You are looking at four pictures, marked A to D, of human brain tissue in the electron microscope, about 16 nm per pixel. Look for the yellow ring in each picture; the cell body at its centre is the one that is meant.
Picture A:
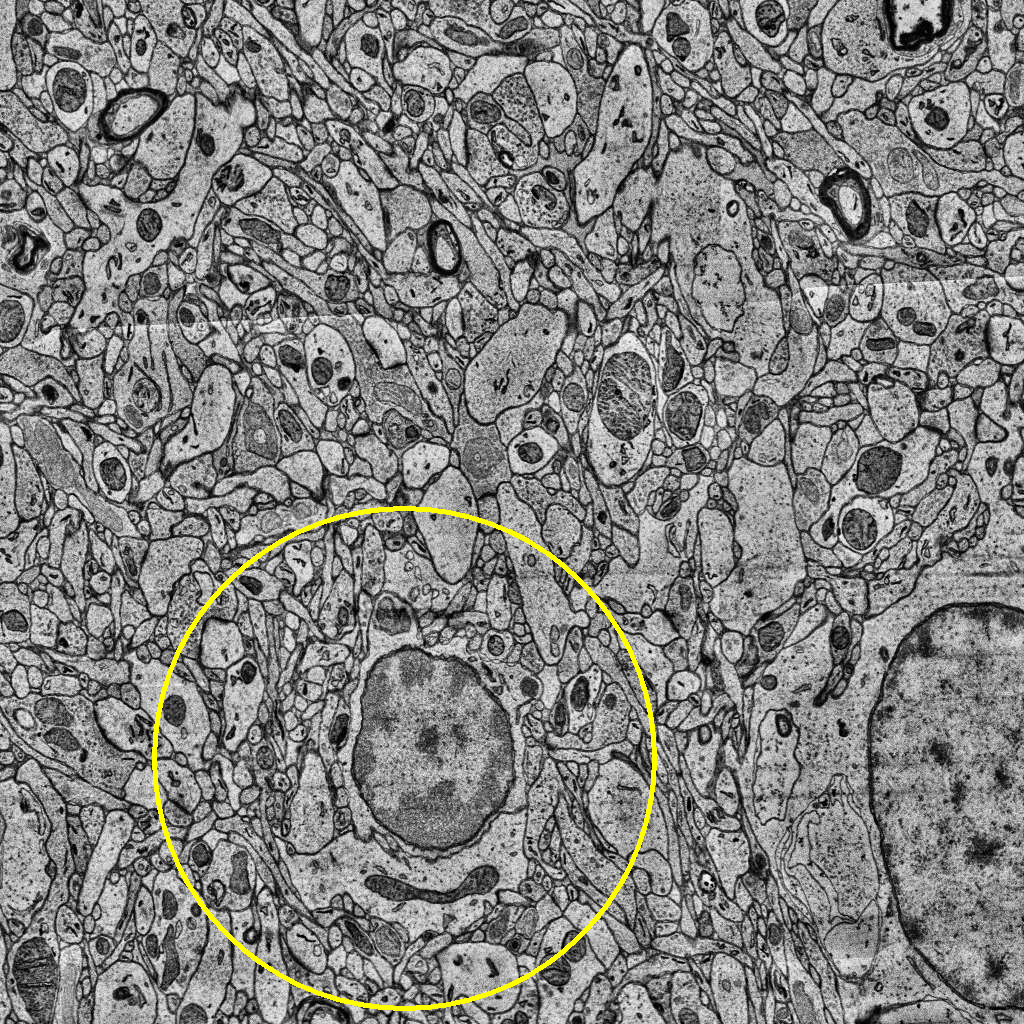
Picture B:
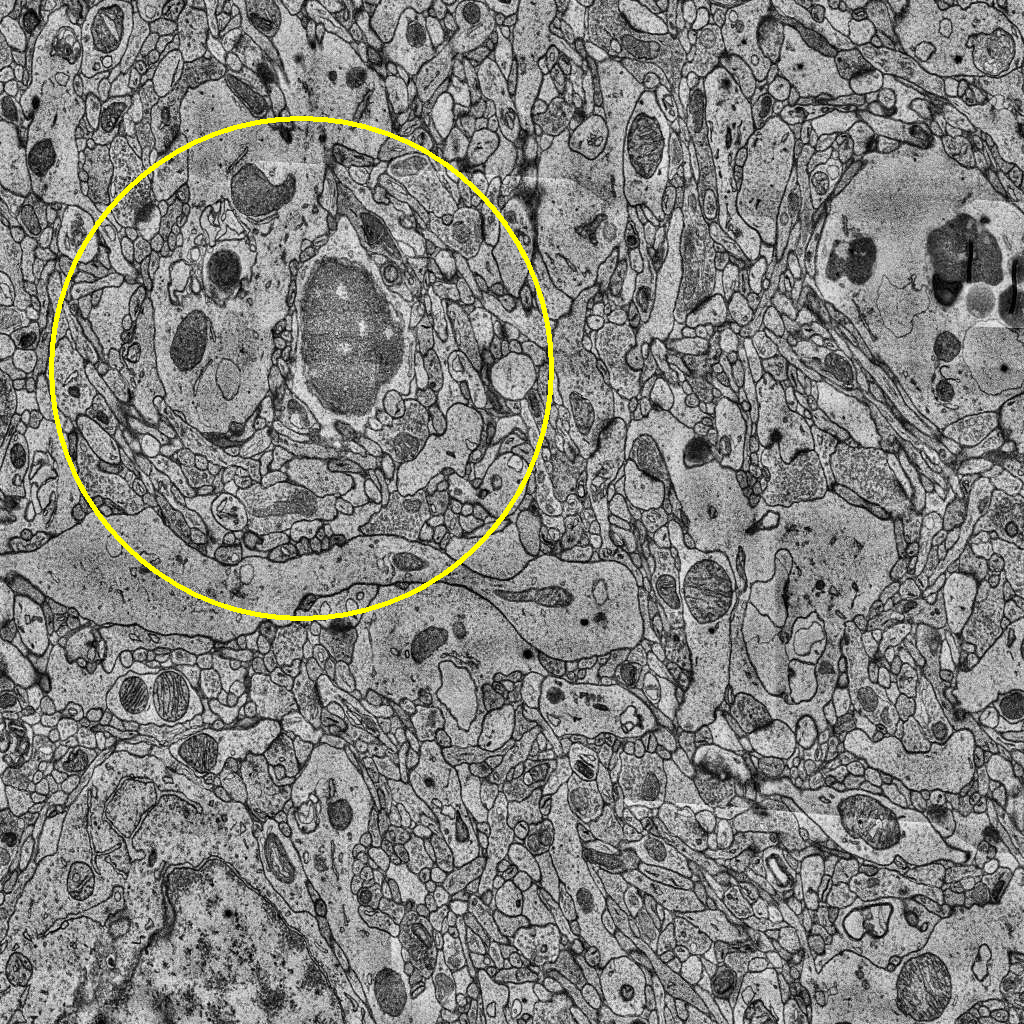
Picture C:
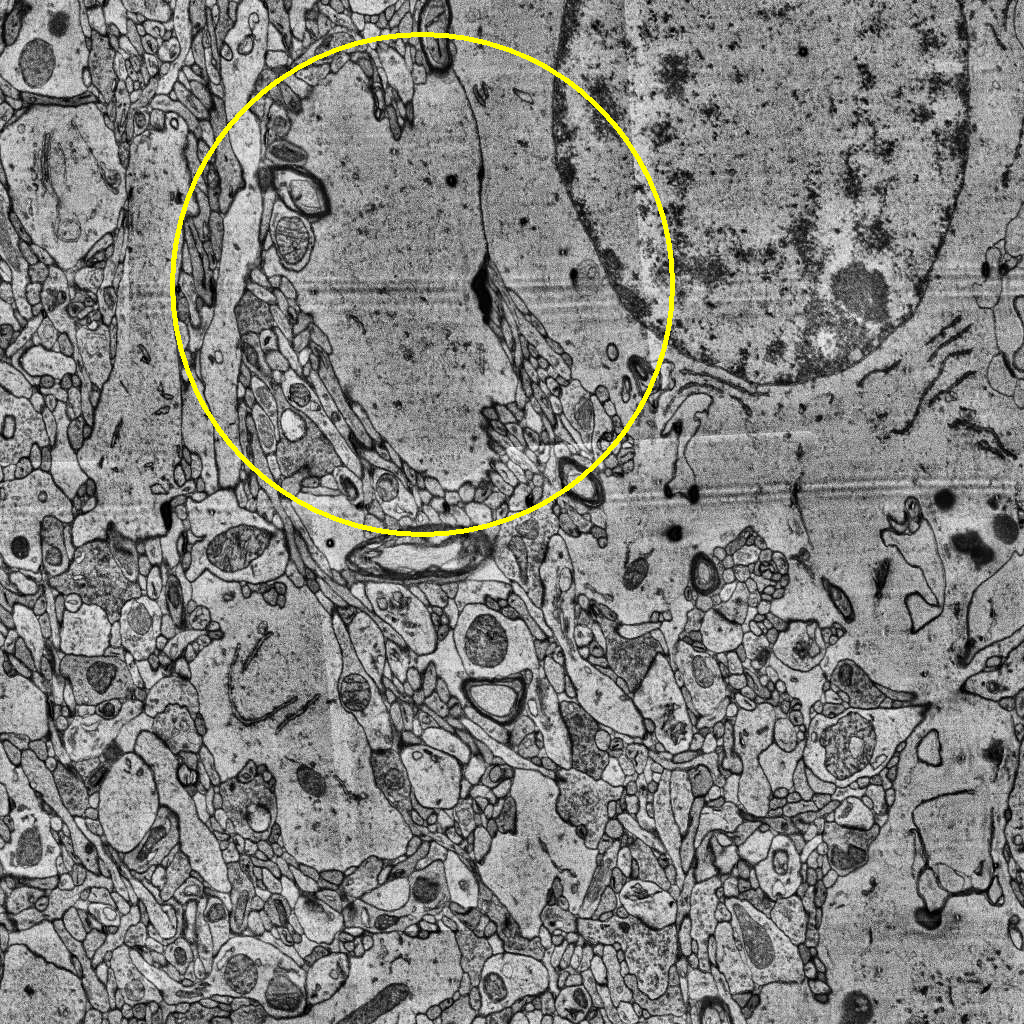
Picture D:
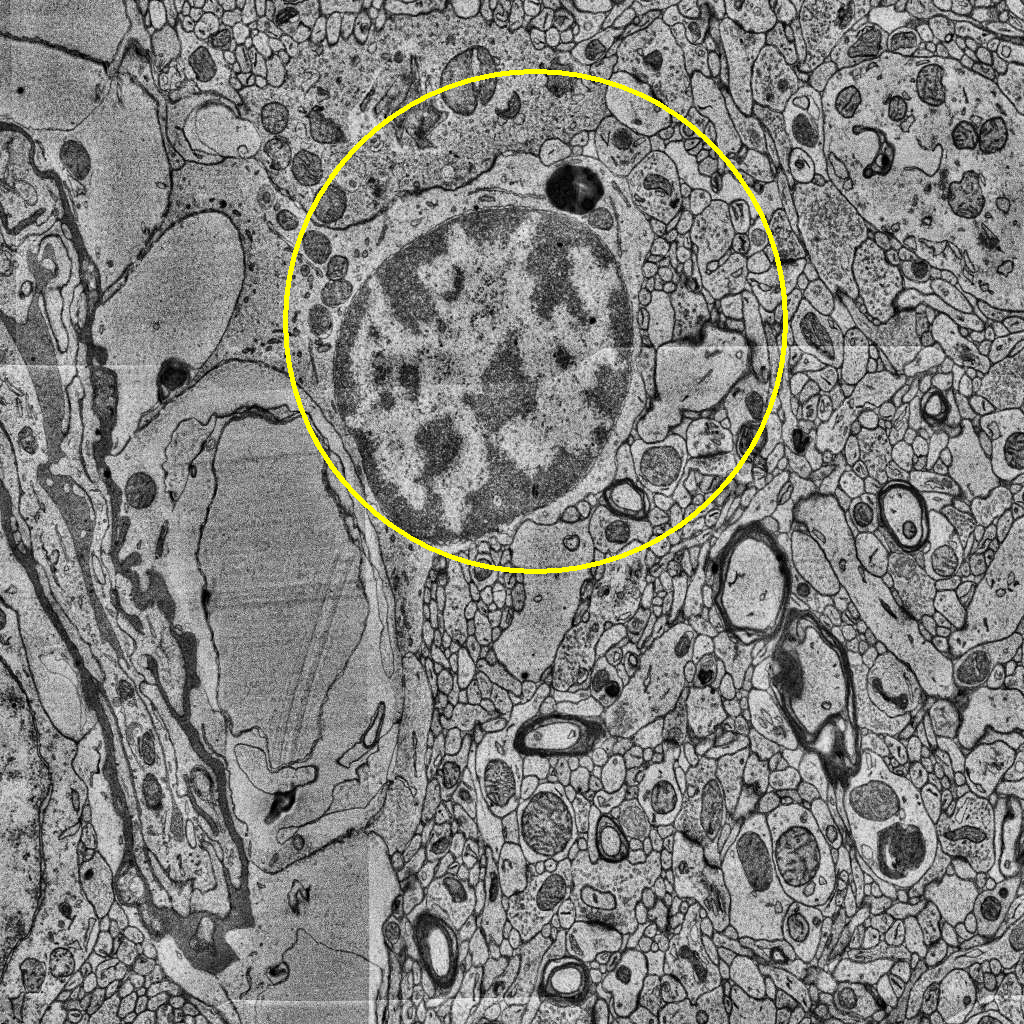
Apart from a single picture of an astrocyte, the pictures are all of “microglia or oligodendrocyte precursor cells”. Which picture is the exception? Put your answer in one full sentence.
It is picture C that shows the astrocyte.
